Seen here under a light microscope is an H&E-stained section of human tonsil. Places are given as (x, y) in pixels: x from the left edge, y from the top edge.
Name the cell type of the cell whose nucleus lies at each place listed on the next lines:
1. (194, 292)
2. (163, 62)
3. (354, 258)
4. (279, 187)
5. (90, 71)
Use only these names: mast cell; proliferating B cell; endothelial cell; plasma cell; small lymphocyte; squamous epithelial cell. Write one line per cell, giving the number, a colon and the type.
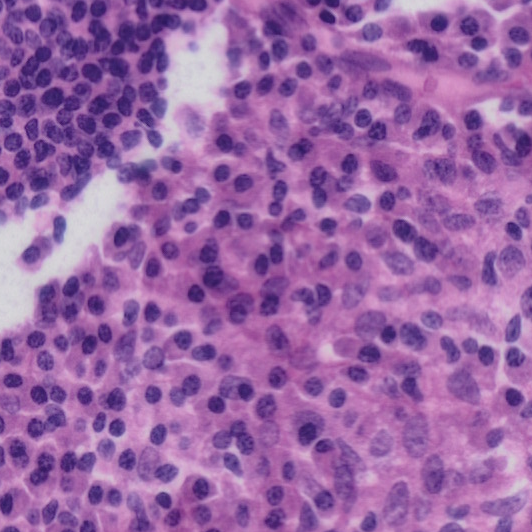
1: plasma cell
2: small lymphocyte
3: plasma cell
4: plasma cell
5: small lymphocyte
